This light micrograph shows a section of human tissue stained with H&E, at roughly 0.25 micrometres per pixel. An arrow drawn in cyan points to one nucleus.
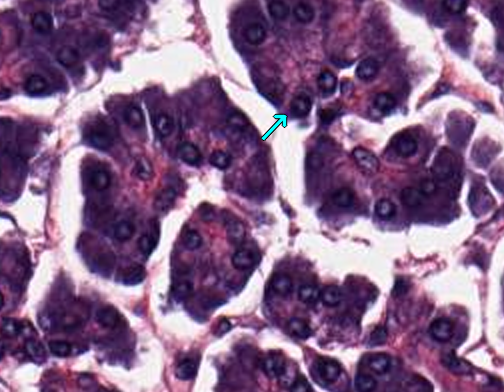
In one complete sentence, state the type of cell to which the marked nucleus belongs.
In this section, the marked nucleus is that of a pancreatic acinar cell.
